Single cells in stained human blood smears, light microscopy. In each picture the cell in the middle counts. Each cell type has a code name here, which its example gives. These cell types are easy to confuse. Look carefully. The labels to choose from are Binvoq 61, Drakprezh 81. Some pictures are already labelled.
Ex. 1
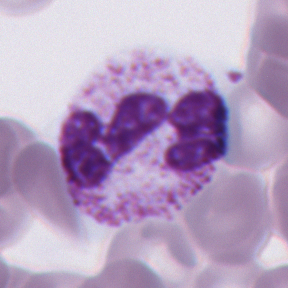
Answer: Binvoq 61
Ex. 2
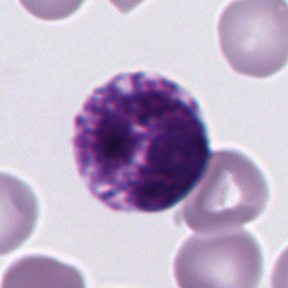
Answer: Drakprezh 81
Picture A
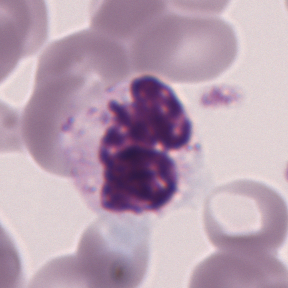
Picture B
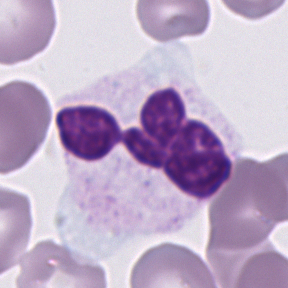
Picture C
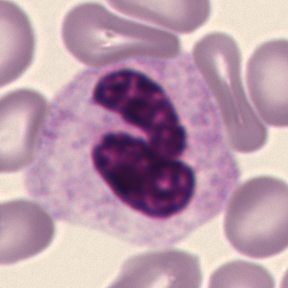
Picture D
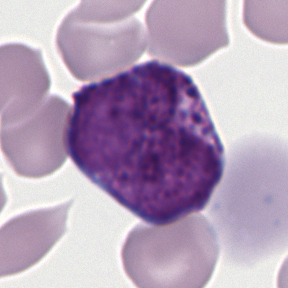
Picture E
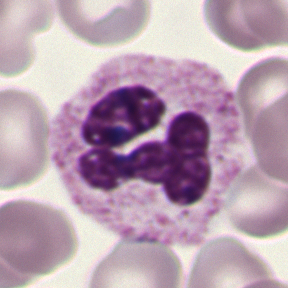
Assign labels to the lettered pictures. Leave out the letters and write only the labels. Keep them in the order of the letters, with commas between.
Binvoq 61, Binvoq 61, Binvoq 61, Drakprezh 81, Binvoq 61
